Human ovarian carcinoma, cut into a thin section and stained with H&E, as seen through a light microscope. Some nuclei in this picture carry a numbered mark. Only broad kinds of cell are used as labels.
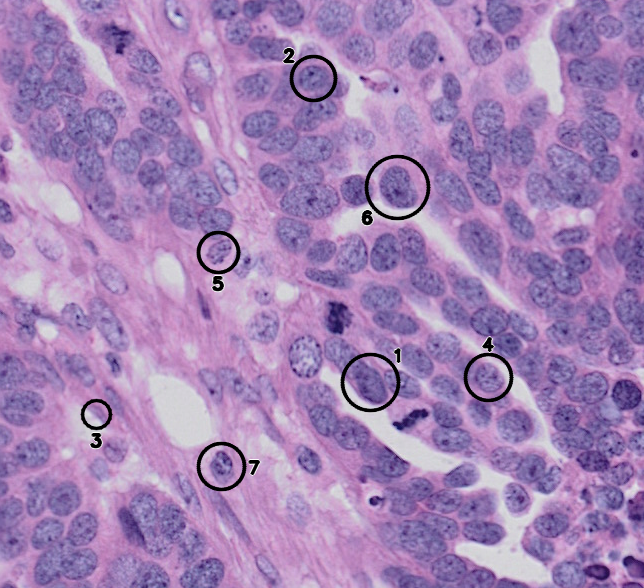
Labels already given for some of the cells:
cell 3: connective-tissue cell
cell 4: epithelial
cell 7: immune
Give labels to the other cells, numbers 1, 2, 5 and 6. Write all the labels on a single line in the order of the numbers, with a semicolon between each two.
epithelial; epithelial; immune; epithelial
